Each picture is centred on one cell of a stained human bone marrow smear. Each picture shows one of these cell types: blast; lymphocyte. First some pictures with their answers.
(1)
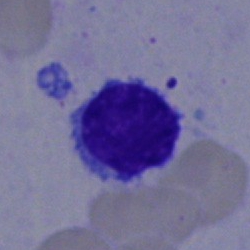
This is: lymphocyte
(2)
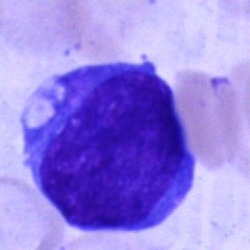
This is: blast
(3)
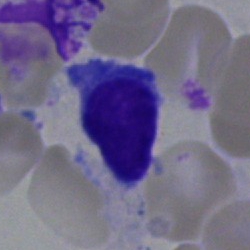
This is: lymphocyte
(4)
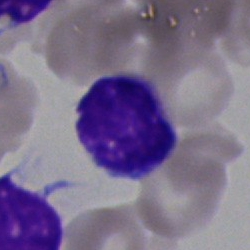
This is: lymphocyte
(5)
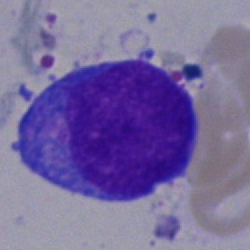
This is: blast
